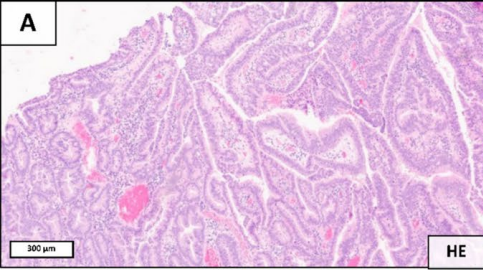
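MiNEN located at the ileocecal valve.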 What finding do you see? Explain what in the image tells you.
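Branching tubular and villous glandular structures lined by columnar epithelium. Fibrovascular cores support the villous fronds.
Tubulovillous adenoma.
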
